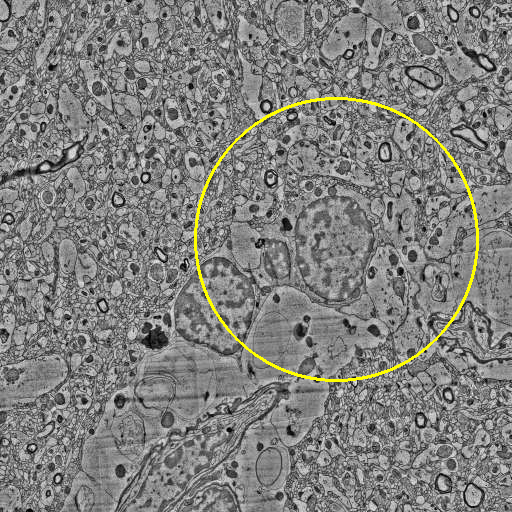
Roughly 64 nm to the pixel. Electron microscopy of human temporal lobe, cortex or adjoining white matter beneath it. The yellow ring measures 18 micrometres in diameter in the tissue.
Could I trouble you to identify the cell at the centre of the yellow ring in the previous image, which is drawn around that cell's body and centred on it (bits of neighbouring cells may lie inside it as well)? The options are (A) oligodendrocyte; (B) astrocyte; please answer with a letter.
A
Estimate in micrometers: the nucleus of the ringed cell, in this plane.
In this plane the nucleus measures roughly 7 by 5 micrometres.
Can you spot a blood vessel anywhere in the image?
Yes.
